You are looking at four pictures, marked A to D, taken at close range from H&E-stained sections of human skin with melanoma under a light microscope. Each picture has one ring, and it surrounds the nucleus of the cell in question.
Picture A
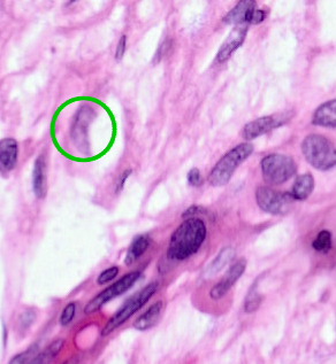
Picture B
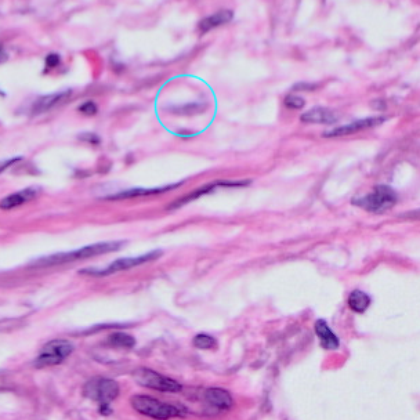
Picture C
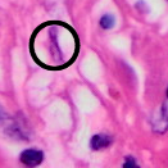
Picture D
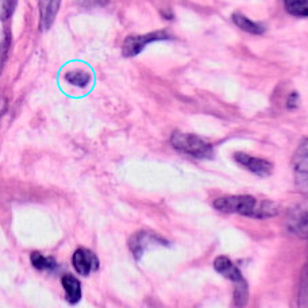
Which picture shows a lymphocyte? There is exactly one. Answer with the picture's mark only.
D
